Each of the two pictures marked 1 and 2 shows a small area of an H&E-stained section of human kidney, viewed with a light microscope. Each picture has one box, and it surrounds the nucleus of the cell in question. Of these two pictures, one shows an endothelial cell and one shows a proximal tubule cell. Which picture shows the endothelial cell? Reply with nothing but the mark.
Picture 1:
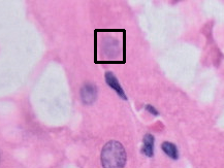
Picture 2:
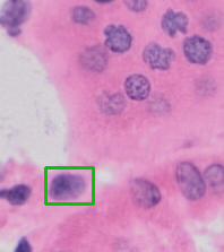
2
